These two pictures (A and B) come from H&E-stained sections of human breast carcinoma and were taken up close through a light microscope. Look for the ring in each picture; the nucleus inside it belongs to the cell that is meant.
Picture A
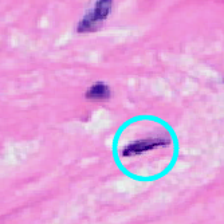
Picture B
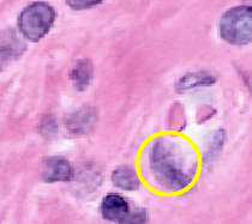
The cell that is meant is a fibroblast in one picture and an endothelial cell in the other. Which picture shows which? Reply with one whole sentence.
In picture A the cell is a fibroblast; in picture B, an endothelial cell.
